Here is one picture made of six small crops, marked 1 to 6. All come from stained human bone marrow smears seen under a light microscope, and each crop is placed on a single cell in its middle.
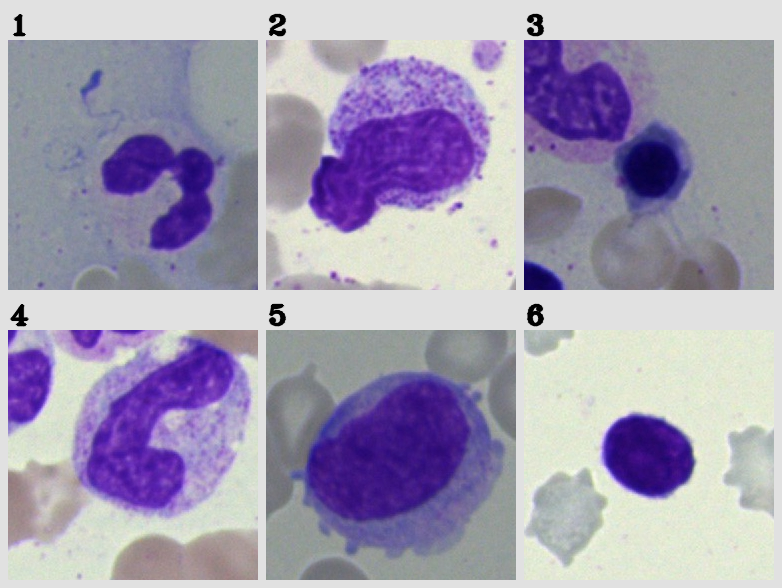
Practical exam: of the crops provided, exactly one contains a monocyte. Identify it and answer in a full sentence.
The crop that shows a monocyte is crop 5.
